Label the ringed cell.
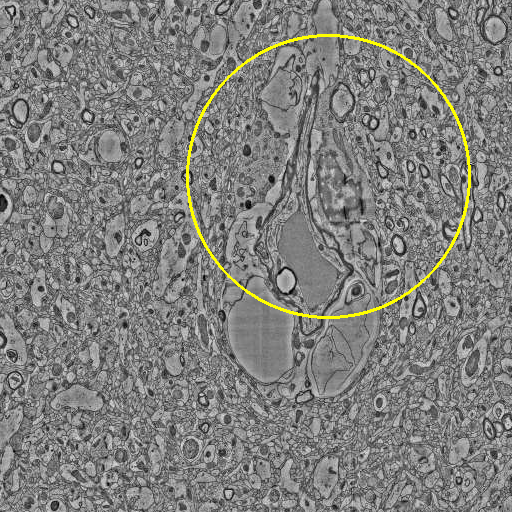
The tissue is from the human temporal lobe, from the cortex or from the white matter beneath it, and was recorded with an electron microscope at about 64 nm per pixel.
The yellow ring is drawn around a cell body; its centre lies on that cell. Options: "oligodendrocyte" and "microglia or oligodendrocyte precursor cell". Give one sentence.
The ringed cell is an oligodendrocyte.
